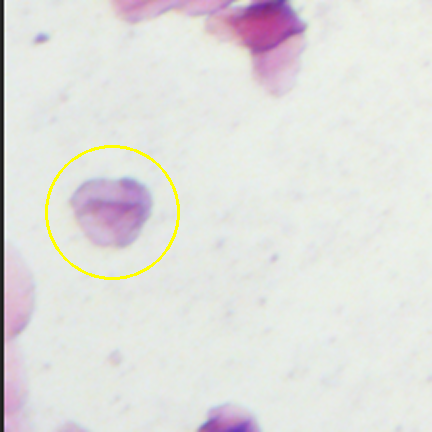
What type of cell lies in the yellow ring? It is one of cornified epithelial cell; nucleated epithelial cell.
The ringed cell is a cornified epithelial cell.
